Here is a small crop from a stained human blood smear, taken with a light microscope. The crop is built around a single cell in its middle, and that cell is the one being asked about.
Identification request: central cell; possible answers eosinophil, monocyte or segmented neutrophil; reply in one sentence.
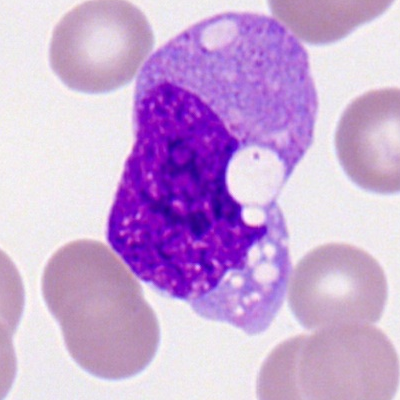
The cell at the heart of this crop is a monocyte.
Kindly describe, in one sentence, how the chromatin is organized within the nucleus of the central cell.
The chromatin of this one is coarsely clumped.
